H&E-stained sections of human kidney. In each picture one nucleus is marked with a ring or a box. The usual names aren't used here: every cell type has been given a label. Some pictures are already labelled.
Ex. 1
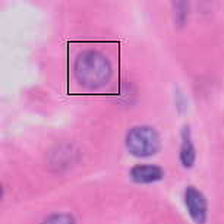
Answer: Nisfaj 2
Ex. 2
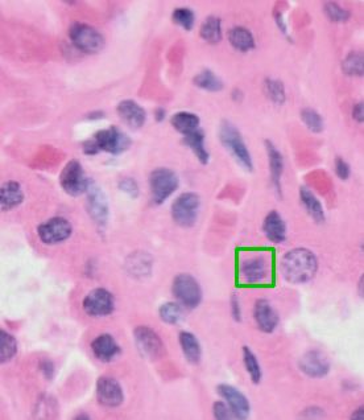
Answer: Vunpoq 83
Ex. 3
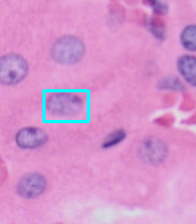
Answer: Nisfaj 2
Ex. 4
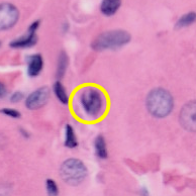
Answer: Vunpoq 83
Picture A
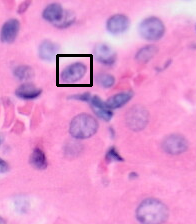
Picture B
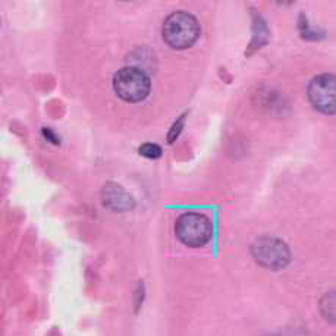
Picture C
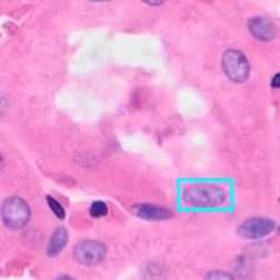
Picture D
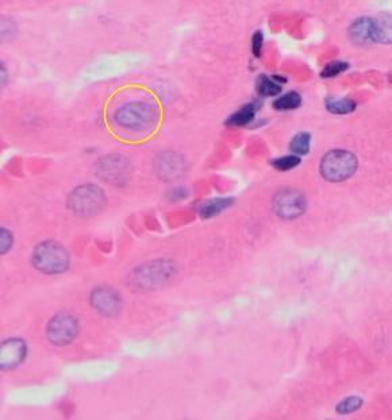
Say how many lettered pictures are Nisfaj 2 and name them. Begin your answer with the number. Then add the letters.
Count: 3 (B, C, D)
